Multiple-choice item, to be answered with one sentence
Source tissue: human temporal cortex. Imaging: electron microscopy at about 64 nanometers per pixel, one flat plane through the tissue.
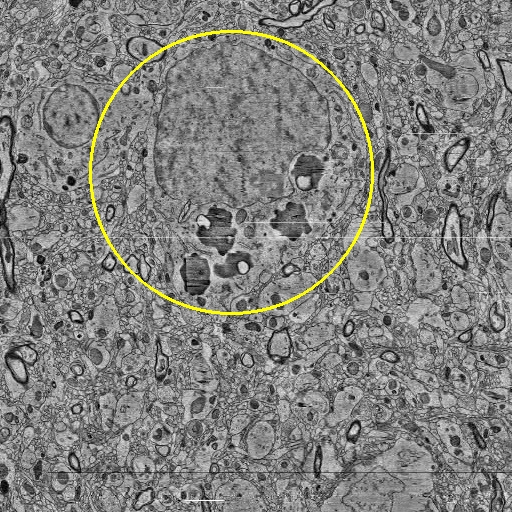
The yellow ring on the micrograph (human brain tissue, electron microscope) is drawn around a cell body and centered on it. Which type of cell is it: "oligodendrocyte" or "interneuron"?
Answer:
The ring is centered on an interneuron.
